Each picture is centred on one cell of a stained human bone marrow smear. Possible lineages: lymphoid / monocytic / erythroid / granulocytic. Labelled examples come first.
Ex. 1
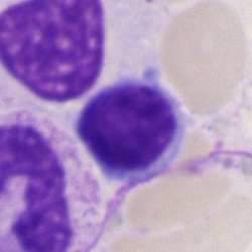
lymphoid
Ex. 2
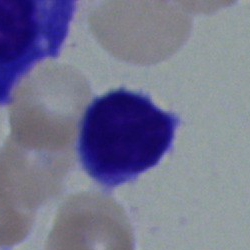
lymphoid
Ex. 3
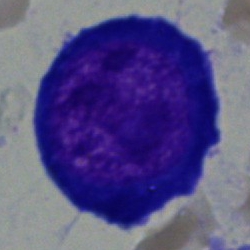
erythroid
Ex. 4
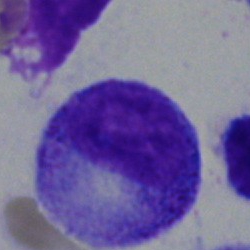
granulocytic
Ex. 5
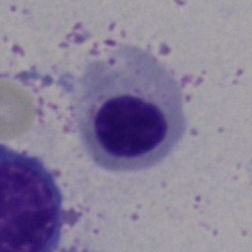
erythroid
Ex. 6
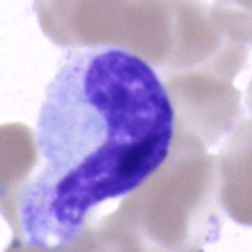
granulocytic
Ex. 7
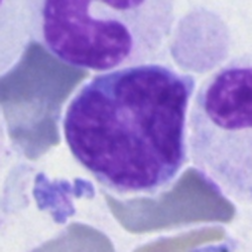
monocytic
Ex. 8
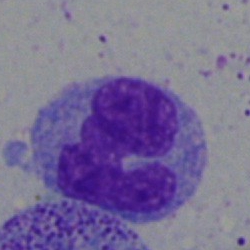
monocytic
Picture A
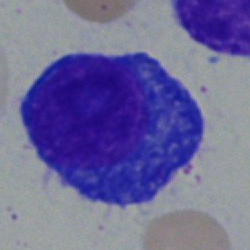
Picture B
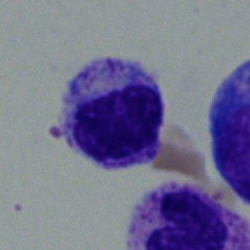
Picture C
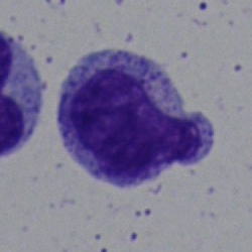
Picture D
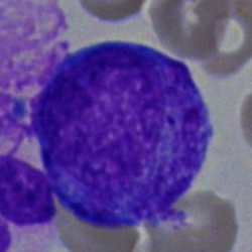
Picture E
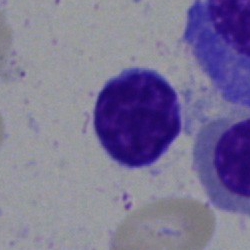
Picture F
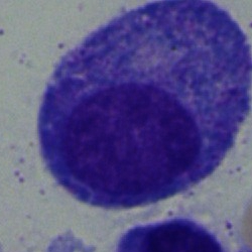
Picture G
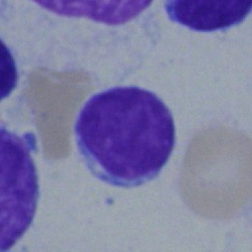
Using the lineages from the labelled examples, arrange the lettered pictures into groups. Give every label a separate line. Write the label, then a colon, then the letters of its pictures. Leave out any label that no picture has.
lymphoid: A, B, E, G
granulocytic: C, D, F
